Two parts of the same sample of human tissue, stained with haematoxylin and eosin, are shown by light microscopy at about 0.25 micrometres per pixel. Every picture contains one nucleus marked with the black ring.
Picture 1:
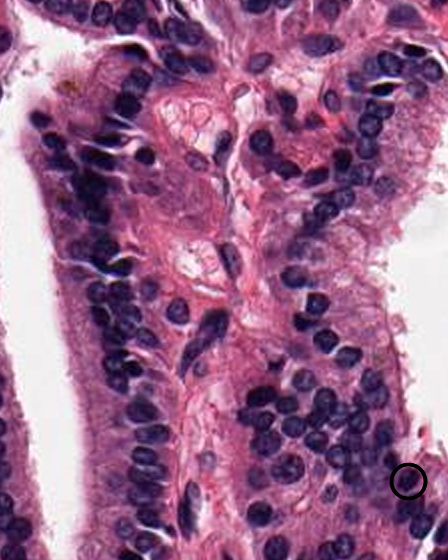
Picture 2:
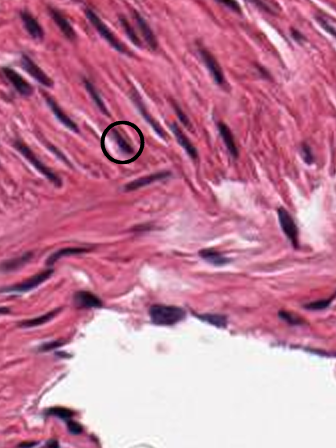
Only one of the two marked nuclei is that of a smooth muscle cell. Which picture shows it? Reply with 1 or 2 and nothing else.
2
